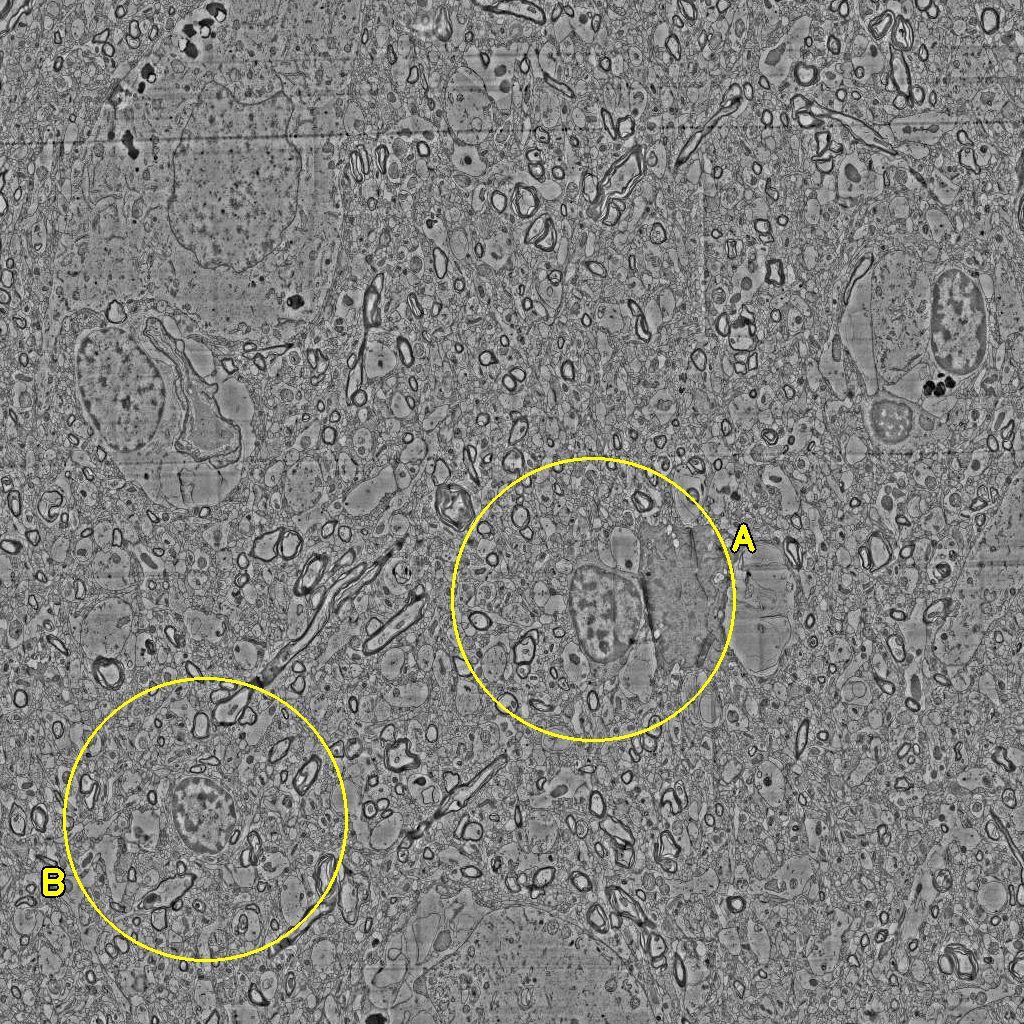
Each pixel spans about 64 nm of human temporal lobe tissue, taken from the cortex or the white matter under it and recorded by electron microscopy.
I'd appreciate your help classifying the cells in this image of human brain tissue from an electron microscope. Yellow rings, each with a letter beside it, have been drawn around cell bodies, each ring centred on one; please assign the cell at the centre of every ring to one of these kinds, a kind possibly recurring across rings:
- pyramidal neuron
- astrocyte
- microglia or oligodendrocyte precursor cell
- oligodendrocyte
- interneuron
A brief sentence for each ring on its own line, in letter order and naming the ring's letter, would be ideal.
In ring A, the central cell is an oligodendrocyte.
In ring B, the central cell is a microglial cell or oligodendrocyte precursor cell.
